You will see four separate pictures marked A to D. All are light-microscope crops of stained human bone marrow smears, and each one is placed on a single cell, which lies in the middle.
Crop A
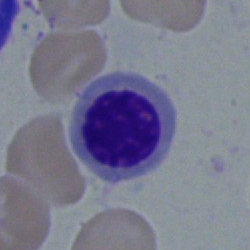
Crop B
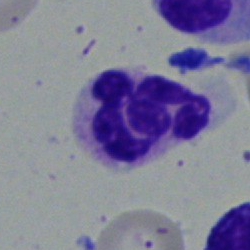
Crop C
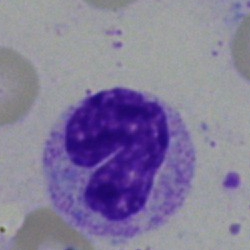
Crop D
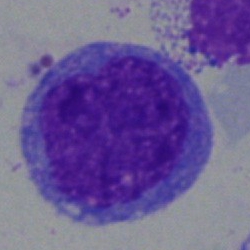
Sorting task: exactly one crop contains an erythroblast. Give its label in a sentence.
Crop A is the one in this set that shows an erythroblast.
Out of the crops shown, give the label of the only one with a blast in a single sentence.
The crop carrying a blast at the center is crop D.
